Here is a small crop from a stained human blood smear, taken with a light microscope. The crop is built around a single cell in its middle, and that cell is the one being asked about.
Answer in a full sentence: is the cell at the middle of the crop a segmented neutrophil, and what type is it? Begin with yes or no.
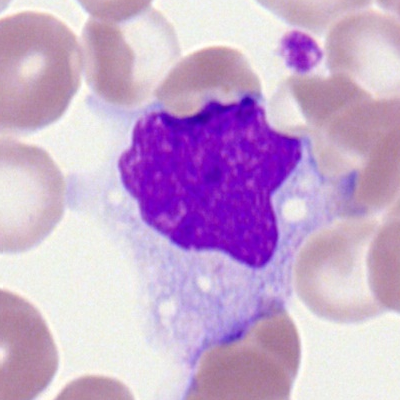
No, the central cell is not a segmented neutrophil, being instead a monocyte.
